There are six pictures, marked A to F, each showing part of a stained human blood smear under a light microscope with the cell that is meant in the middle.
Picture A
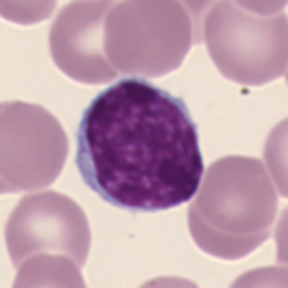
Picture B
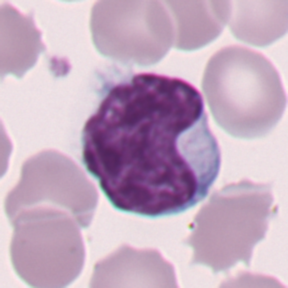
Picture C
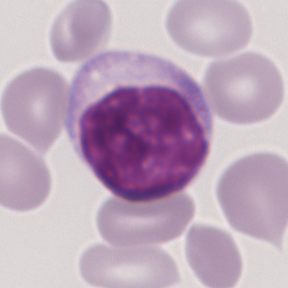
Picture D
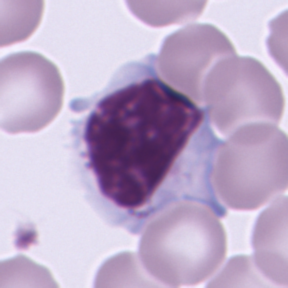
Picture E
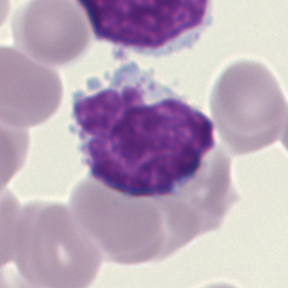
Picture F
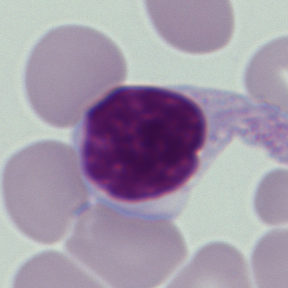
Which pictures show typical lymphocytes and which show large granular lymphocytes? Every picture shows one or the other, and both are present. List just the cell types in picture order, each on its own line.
typical lymphocyte
typical lymphocyte
large granular lymphocyte
large granular lymphocyte
large granular lymphocyte
large granular lymphocyte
